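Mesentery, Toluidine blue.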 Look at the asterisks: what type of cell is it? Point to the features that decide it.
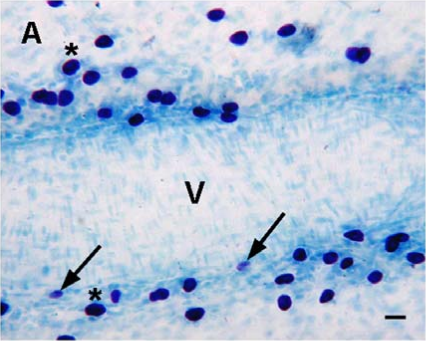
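Mature mast cells. The cells at the asterisks are oval and densely stained deep purple. They are scattered along the vessel wall.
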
